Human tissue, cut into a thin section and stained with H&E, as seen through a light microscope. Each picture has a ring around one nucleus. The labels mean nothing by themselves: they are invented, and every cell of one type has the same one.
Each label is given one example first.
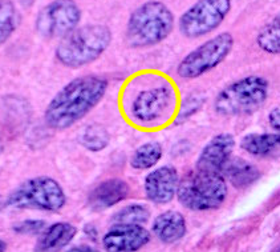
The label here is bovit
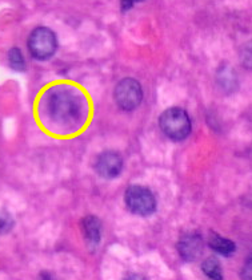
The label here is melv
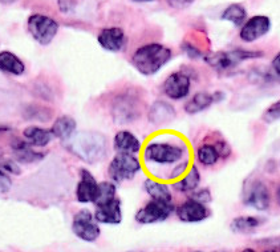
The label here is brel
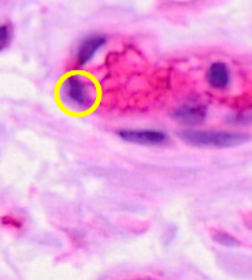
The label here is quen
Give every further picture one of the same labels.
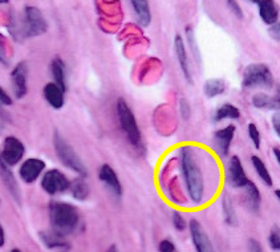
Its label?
quen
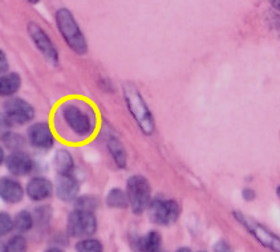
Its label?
brel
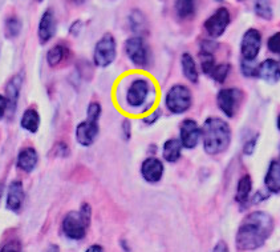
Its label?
brel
